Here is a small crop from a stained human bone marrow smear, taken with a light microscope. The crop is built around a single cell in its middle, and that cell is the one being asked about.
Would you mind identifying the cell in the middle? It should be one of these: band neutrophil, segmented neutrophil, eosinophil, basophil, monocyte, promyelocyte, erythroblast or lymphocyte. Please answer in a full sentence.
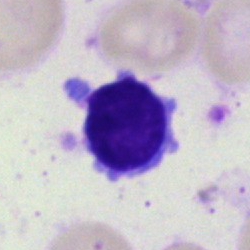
The crop shows a lymphocyte in its centre.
